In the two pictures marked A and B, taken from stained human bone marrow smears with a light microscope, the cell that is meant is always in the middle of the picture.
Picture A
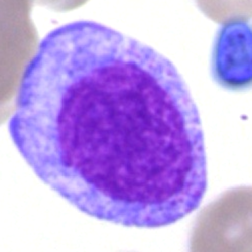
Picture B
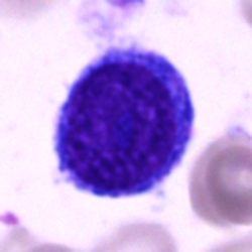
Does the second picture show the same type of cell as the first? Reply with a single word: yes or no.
no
